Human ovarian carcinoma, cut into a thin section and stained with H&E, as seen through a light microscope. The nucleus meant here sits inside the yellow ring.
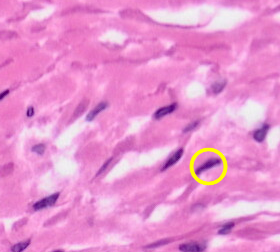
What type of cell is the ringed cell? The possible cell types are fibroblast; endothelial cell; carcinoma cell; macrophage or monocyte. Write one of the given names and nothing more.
fibroblast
